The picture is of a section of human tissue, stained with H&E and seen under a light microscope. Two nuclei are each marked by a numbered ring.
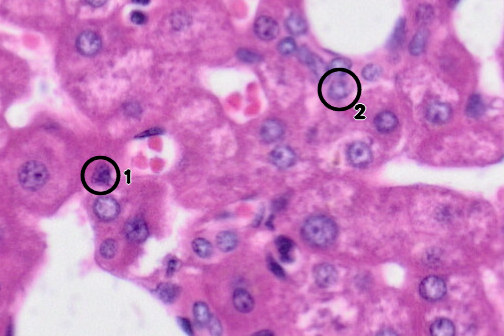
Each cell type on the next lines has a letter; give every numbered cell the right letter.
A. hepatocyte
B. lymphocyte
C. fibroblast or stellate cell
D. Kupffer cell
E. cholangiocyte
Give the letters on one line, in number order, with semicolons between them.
C; E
